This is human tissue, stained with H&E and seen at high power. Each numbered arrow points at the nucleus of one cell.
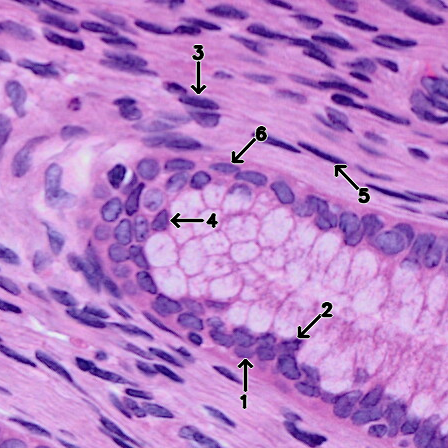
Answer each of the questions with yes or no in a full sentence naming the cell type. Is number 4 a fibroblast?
No, the cell that carries number 4 is a secretory epithelial cell, not a fibroblast.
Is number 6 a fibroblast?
No, for cell 6, the correct identification is a secretory epithelial cell instead of a fibroblast.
